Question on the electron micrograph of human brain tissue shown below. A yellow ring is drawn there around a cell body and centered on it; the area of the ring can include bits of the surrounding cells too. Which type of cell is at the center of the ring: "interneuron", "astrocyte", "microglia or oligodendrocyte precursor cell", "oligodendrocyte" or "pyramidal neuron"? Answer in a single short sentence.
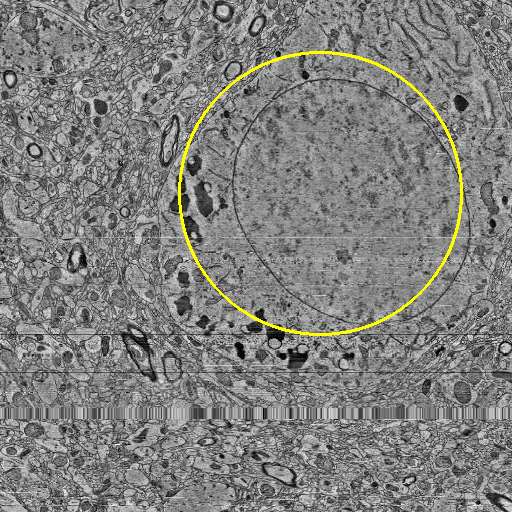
The ring is centered on a pyramidal neuron.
